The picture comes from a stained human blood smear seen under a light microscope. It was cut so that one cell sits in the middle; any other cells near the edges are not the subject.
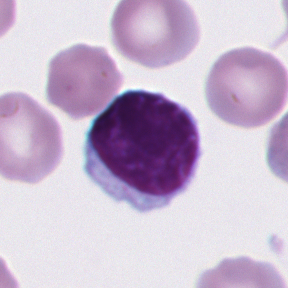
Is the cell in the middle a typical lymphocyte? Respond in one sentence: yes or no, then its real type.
Yes, the middle of the crop is occupied by a typical lymphocyte.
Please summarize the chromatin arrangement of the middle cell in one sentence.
In this nucleus, the chromatin is arranged in coarse clumps.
